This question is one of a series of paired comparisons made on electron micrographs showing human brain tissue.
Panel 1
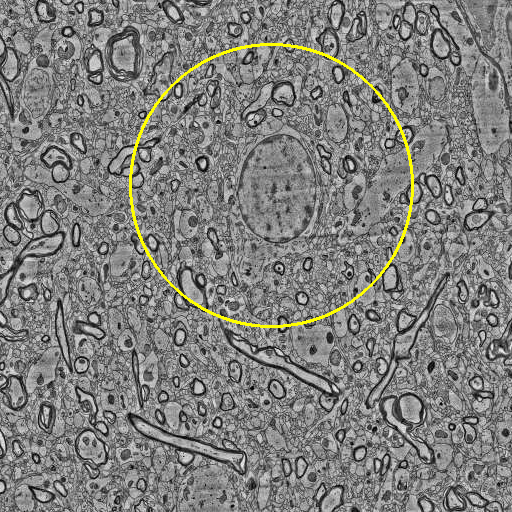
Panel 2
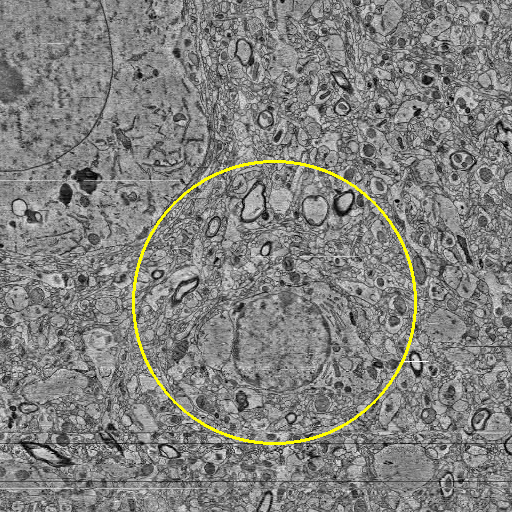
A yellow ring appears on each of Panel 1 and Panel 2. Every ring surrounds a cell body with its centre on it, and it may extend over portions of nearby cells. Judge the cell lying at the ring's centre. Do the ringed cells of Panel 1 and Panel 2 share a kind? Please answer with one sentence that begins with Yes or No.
Yes, the ring-centre cell in Panel 1 and the one in Panel 2 are of one kind.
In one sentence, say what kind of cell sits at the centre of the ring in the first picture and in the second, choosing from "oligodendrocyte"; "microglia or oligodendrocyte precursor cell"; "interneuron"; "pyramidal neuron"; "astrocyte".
Each of the ringed cells, first and second, is a microglial cell or oligodendrocyte precursor cell.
